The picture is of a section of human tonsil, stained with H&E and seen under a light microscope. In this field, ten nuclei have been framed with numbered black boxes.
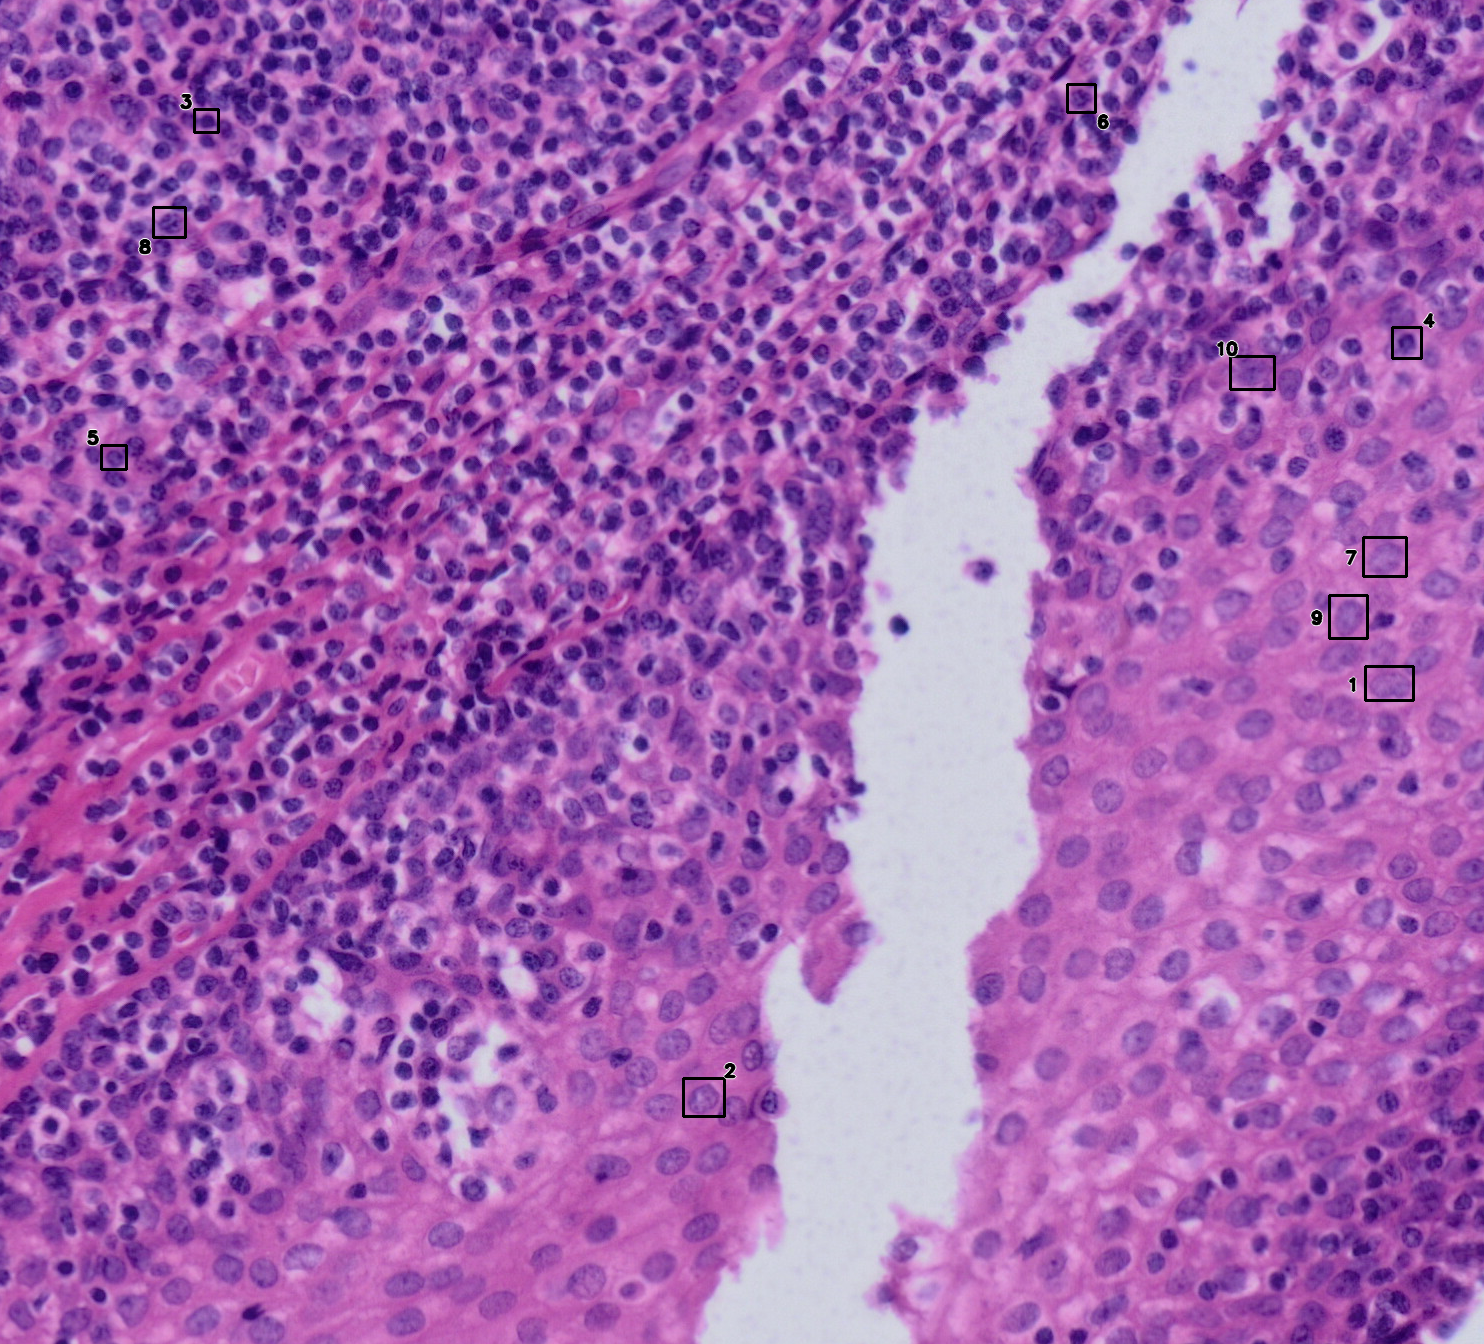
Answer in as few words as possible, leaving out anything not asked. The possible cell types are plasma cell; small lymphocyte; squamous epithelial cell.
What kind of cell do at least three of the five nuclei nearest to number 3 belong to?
small lymphocyte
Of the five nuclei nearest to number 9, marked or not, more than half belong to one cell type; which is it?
squamous epithelial cell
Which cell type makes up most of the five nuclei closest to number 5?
plasma cell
